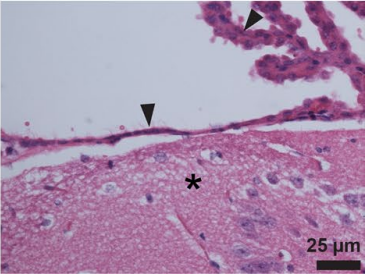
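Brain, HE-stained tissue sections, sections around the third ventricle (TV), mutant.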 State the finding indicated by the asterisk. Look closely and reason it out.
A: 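The pink tissue under the lining layer is full of small clear vacuoles. Scattered nuclei lie within the vacuolated pink tissue. The answer: foamy appearance.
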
